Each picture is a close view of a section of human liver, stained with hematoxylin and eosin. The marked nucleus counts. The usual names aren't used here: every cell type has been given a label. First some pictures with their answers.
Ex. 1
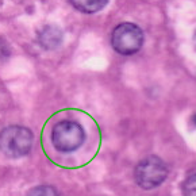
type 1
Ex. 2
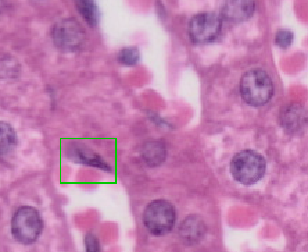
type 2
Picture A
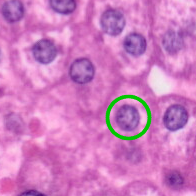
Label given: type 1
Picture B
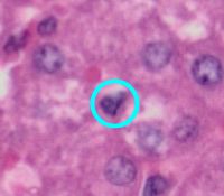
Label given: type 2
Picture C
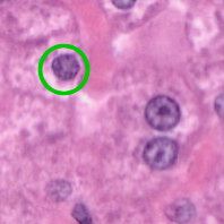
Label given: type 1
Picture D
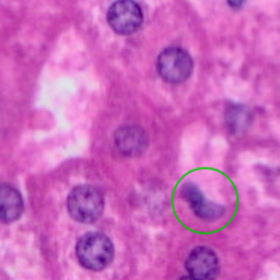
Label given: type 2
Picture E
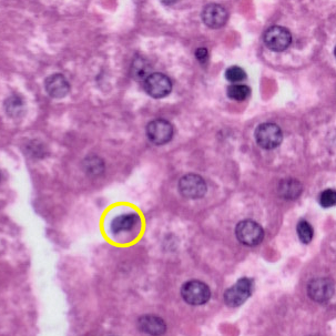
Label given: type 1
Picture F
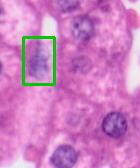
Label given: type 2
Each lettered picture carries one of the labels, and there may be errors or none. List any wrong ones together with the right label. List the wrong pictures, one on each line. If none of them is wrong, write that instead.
E is labelled type 1; correct label: type 2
